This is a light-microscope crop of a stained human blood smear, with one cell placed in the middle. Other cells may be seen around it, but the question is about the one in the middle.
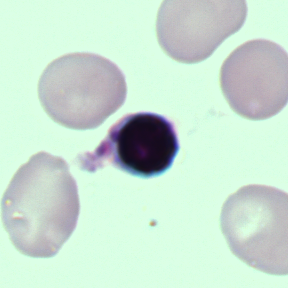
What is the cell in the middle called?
erythroblast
